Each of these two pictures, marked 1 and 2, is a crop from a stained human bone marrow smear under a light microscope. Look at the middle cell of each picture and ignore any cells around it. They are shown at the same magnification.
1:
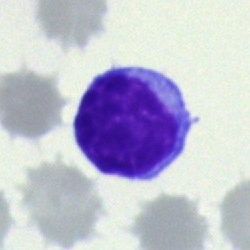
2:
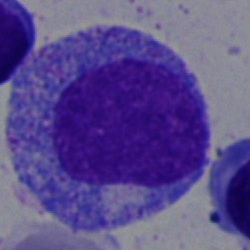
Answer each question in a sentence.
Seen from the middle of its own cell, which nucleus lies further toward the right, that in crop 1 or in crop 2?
The nucleus in crop 2 lies further toward the right of its cell.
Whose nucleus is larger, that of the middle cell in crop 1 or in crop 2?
It is the nucleus in crop 2, about 2 times as large in area as the one in crop 1.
